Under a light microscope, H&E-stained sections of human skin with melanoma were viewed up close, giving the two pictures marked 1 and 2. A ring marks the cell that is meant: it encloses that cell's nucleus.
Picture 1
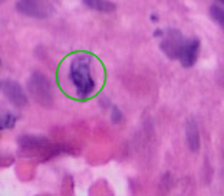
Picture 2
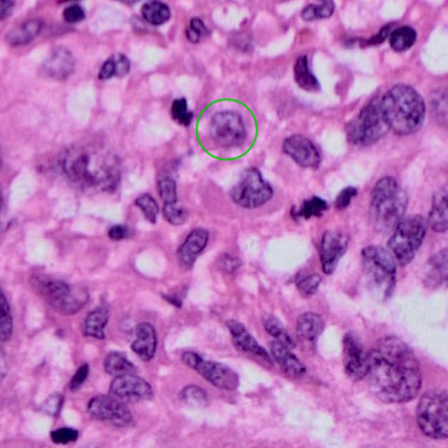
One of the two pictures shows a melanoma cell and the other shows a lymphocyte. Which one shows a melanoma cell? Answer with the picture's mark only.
2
